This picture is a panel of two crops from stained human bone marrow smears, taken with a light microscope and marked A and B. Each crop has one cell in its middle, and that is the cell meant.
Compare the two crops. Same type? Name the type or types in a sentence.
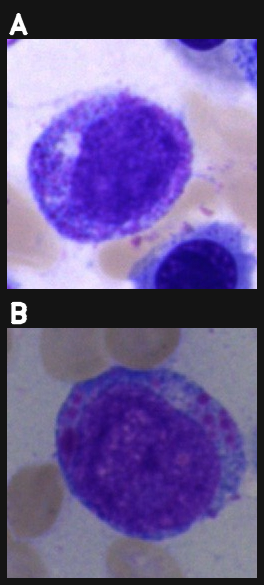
Yes, for both crops, the central cells are promyelocytes.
